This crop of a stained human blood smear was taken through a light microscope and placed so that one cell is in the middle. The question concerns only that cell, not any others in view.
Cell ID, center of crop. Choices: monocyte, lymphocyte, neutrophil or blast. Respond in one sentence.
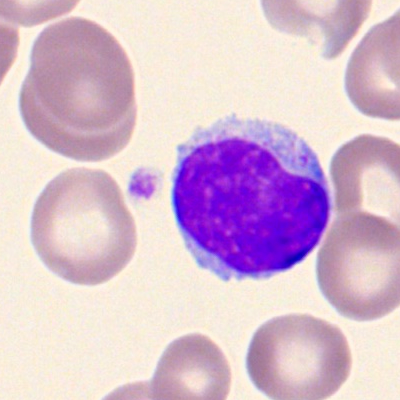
As for the central cell, it is a lymphocyte.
